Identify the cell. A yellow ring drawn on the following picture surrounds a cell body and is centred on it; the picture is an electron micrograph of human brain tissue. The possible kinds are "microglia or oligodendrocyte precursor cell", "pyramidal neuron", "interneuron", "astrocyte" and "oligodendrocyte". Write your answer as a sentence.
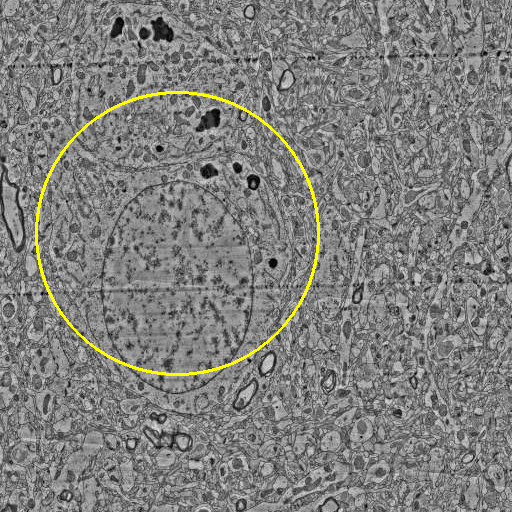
The cell identified by the ring is a pyramidal neuron.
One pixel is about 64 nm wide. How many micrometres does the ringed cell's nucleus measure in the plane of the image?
In this plane, roughly 14 by 10 micrometres.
